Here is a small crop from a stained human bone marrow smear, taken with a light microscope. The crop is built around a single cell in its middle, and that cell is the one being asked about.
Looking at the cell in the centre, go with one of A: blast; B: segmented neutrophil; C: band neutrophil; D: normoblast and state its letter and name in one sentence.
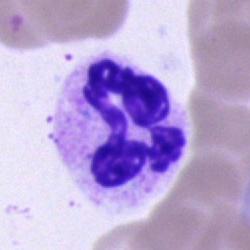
Option B is correct in naming the middle cell a segmented neutrophil.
